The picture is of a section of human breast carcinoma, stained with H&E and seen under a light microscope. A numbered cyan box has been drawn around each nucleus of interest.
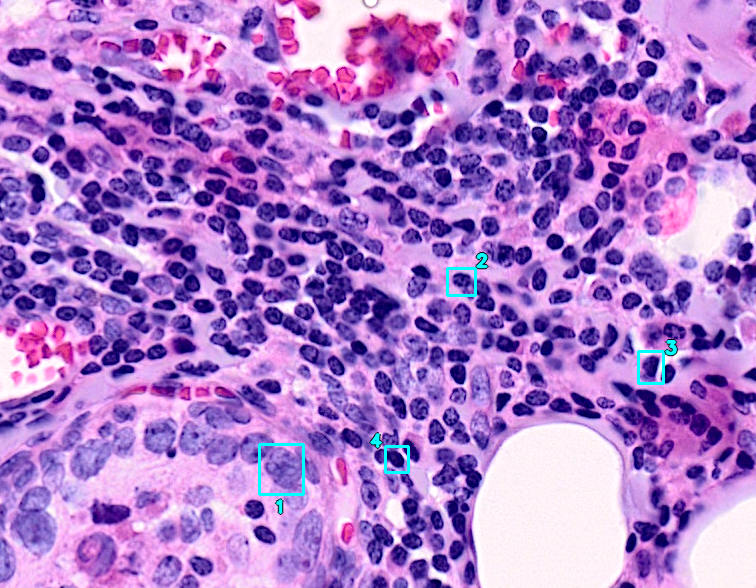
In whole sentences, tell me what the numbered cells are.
Cell 1 is a carcinoma cell, cell 2 is a lymphocyte, cell 3 is a lymphocyte and cell 4 is a lymphocyte.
